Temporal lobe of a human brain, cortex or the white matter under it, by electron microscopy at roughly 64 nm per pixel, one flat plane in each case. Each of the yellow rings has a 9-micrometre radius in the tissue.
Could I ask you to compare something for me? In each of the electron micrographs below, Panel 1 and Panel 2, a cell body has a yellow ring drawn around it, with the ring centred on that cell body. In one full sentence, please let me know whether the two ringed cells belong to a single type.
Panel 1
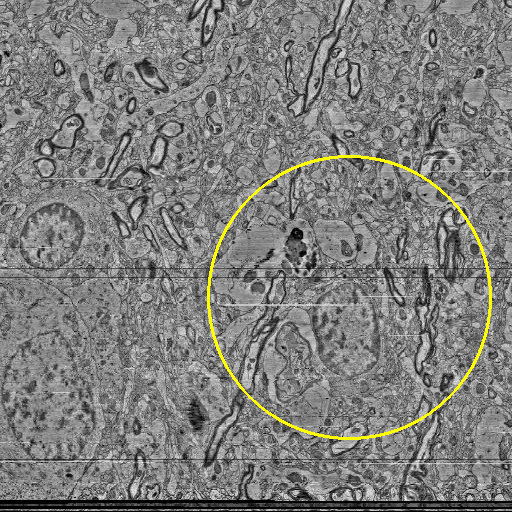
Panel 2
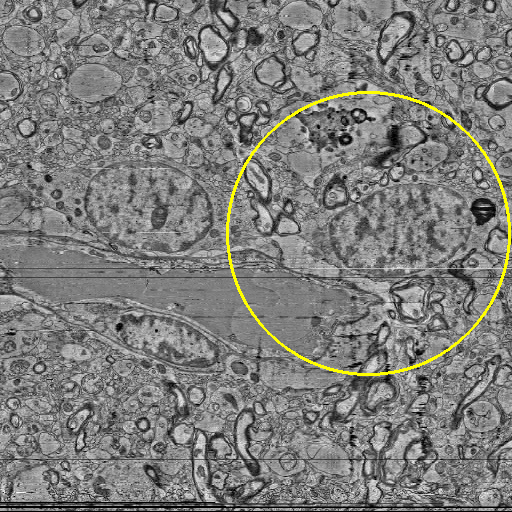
Yes, the two cells at the centres of the rings are of one type.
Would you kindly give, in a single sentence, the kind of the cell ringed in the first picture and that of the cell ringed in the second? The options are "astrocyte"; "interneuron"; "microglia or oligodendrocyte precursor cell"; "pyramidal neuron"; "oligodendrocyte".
Both the first and the second picture show an oligodendrocyte in the ring.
